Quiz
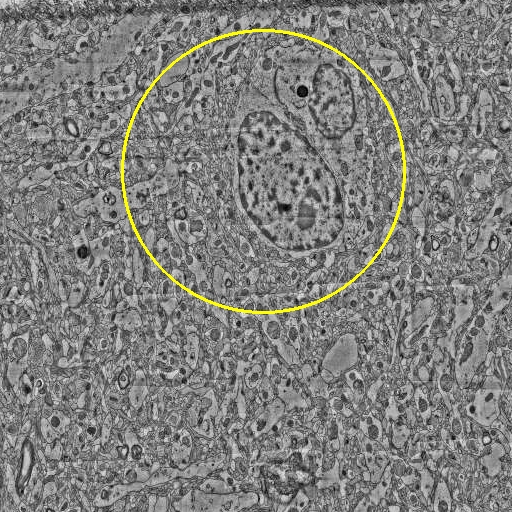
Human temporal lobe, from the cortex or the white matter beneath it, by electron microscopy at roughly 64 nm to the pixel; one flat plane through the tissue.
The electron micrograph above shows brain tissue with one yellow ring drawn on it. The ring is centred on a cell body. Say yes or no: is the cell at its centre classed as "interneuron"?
no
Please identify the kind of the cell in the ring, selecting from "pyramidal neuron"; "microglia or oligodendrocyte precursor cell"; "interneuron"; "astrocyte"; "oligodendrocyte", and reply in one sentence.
Instead, the cell at the centre of the yellow ring is a microglial cell or oligodendrocyte precursor cell.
